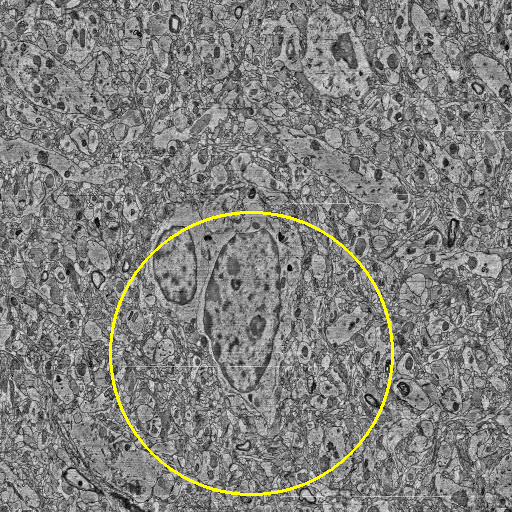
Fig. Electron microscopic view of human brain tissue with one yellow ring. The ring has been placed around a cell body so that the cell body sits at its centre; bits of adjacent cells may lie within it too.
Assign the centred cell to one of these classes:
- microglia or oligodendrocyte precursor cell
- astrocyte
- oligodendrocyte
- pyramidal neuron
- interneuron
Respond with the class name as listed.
microglia or oligodendrocyte precursor cell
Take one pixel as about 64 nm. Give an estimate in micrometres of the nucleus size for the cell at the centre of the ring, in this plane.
The nucleus comes to approximately 9 by 5 micrometres and is clearly longer than it is wide in this plane.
